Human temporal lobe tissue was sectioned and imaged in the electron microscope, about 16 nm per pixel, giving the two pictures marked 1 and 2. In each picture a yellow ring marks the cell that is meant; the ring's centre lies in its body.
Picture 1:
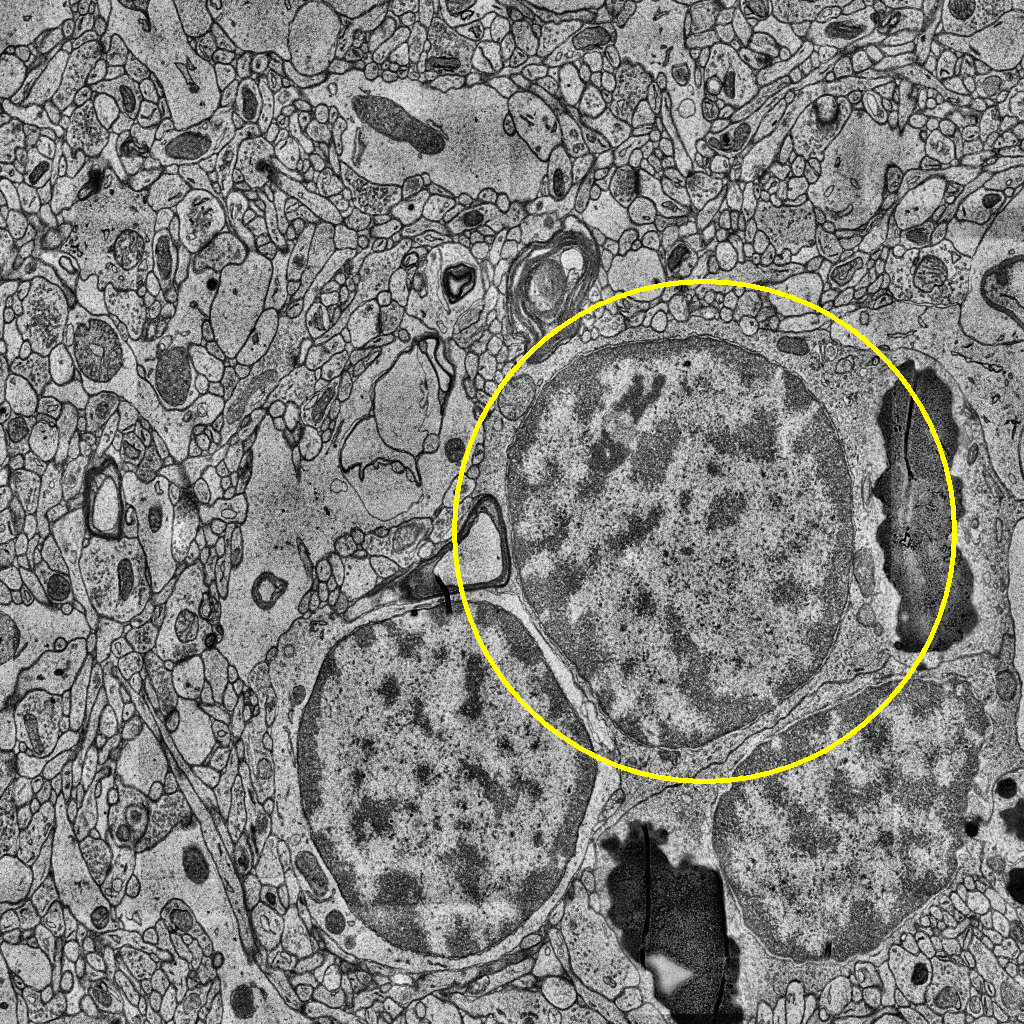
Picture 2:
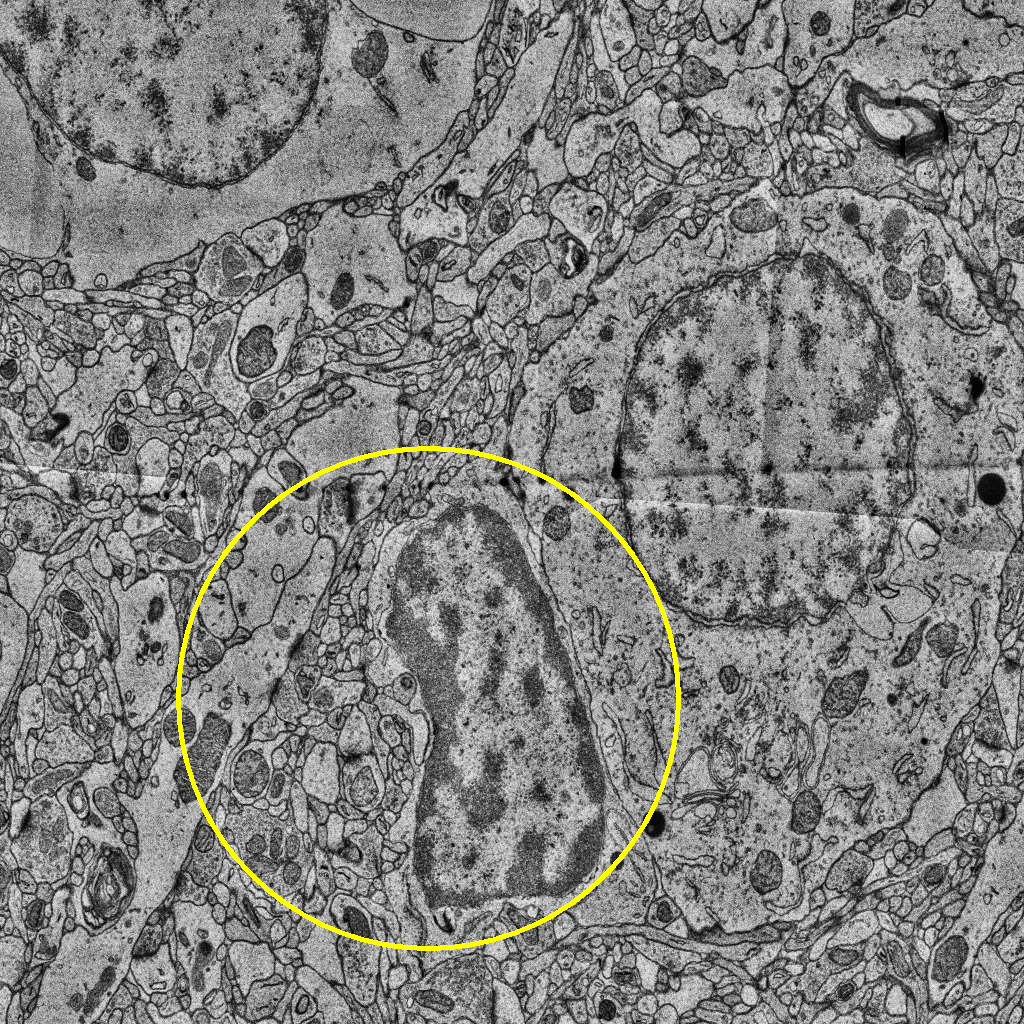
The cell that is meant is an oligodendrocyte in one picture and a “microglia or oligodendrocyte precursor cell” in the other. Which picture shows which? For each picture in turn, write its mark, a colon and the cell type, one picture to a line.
1: oligodendrocyte
2: microglia or oligodendrocyte precursor cell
